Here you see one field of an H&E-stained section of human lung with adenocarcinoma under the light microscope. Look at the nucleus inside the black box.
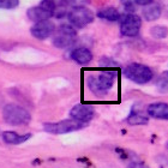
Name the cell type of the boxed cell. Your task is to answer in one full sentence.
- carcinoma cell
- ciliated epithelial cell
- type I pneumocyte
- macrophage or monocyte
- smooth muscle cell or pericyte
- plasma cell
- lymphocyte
Just put down that the boxed cell is a lymphocyte.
